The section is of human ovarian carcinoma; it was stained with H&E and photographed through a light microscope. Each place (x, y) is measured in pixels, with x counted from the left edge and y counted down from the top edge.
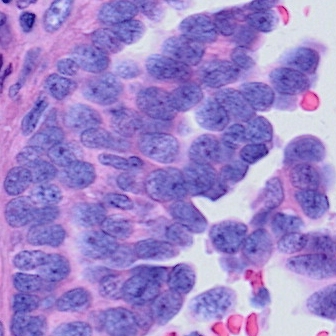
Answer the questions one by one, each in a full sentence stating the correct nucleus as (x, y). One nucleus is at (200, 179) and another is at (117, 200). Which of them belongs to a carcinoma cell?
In this pair, the nucleus at (200, 179) belongs to a carcinoma cell.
